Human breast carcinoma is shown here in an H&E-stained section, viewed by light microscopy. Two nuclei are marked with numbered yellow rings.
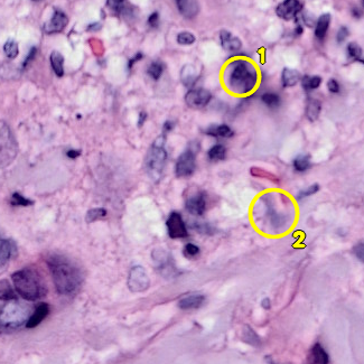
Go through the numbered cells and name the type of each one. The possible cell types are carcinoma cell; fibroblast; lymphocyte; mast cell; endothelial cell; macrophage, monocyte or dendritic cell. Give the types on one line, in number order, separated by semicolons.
lymphocyte; endothelial cell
